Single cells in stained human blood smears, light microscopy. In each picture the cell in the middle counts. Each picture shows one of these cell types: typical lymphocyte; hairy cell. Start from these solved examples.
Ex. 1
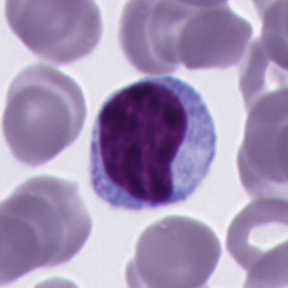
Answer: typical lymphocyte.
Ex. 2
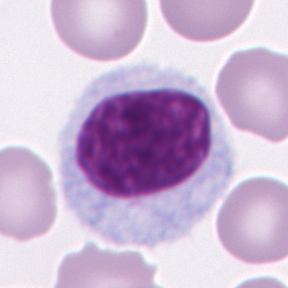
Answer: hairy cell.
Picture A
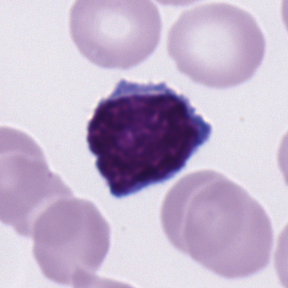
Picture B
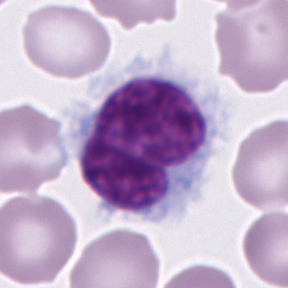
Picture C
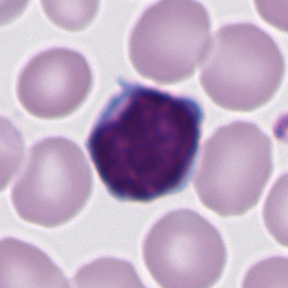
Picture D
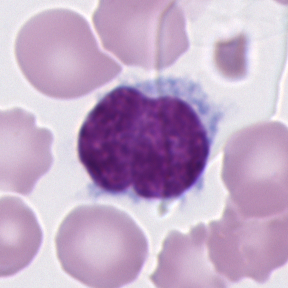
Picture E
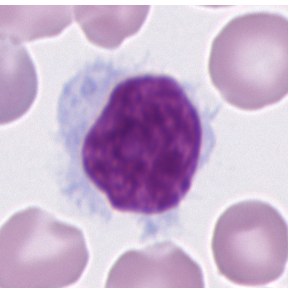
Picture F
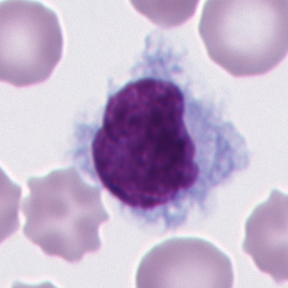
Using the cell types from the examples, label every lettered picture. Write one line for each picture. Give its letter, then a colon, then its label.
A: typical lymphocyte.
B: hairy cell.
C: typical lymphocyte.
D: hairy cell.
E: hairy cell.
F: hairy cell.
